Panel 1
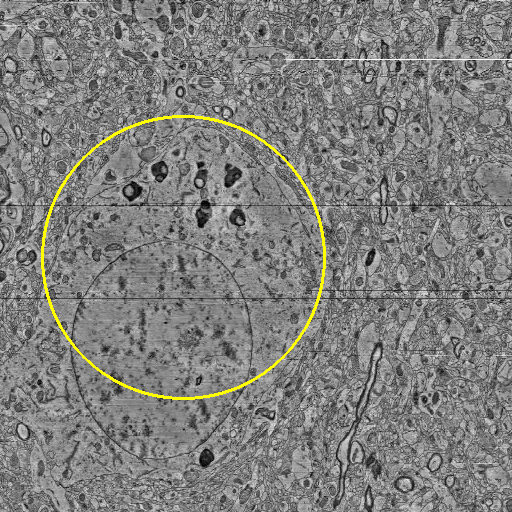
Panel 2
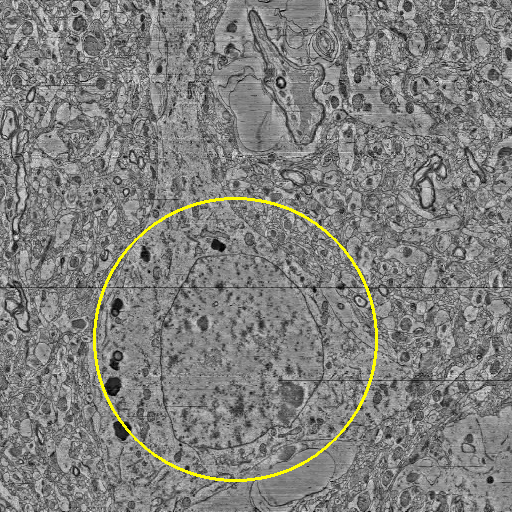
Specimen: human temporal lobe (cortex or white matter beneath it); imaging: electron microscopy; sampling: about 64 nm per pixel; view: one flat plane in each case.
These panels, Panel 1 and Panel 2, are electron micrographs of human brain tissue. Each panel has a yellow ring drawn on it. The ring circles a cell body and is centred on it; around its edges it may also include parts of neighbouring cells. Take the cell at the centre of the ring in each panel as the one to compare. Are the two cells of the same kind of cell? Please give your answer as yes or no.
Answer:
yes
